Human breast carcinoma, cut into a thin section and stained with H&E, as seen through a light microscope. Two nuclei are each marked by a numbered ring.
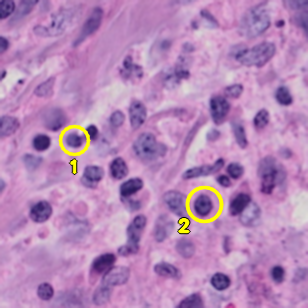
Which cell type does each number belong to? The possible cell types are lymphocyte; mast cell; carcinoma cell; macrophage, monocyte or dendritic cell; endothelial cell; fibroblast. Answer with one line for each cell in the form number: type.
1: lymphocyte
2: mast cell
